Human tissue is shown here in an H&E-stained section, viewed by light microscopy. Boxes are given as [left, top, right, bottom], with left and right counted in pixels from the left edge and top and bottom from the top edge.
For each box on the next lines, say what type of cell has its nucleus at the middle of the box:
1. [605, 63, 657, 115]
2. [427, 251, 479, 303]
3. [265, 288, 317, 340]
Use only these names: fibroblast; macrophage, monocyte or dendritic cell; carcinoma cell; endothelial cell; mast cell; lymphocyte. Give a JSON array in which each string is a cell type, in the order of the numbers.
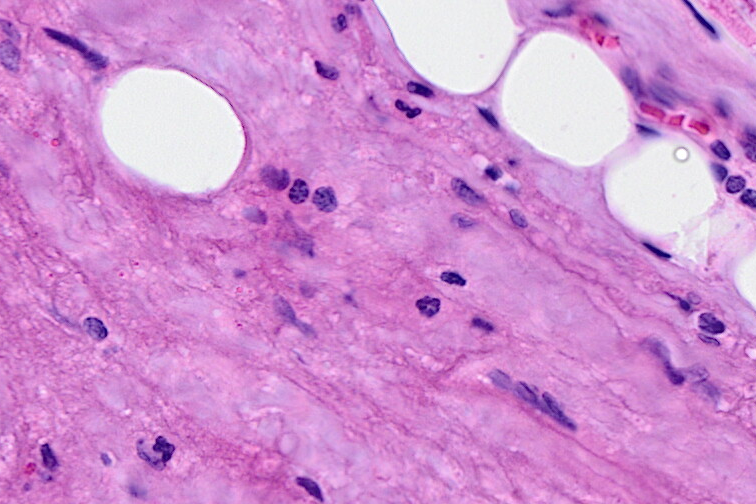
["endothelial cell", "lymphocyte", "fibroblast"]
